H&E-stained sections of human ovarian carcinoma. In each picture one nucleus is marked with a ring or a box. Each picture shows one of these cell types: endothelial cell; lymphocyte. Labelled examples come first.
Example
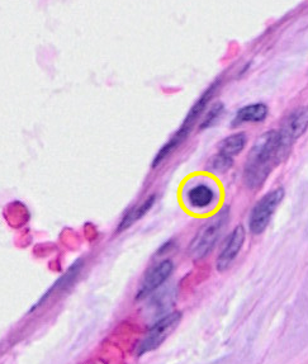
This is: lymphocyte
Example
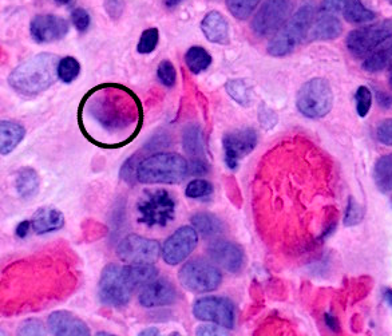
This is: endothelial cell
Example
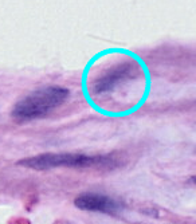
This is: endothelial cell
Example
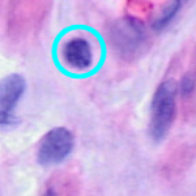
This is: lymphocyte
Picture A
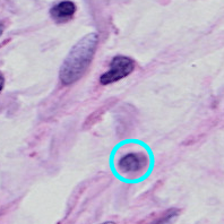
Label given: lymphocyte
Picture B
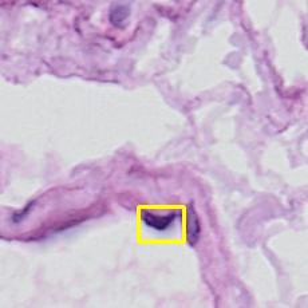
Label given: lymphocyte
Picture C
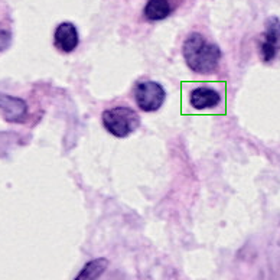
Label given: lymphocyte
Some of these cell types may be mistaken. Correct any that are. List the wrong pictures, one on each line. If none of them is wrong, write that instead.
B should be endothelial cell, not lymphocyte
